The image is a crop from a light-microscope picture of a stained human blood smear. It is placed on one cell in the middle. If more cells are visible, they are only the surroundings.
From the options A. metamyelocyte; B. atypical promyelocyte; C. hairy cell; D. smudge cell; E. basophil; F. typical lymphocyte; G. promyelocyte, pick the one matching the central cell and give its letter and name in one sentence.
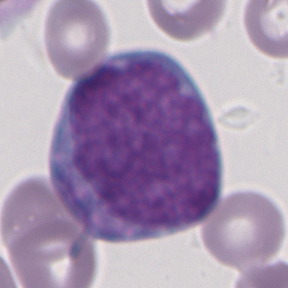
In this crop the middle cell is a promyelocyte, so option G is the correct answer.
